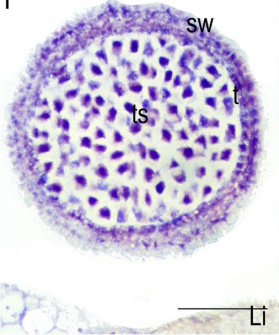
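This is a cross-section through a round sporangium, with a thick ring of sporangial wall layers and an inner tapetum surrounding a central cavity. The cavity is filled with many separate small cell groups, the tetrads, which are evenly spread and stained purple. Below the sporangium the edge of a ligule with large pale cells is visible.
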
